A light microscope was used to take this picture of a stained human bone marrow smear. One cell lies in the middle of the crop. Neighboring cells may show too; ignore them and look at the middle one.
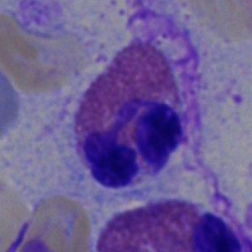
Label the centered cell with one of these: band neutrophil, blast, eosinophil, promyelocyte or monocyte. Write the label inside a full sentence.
The middle cell in this particular crop is an eosinophil.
